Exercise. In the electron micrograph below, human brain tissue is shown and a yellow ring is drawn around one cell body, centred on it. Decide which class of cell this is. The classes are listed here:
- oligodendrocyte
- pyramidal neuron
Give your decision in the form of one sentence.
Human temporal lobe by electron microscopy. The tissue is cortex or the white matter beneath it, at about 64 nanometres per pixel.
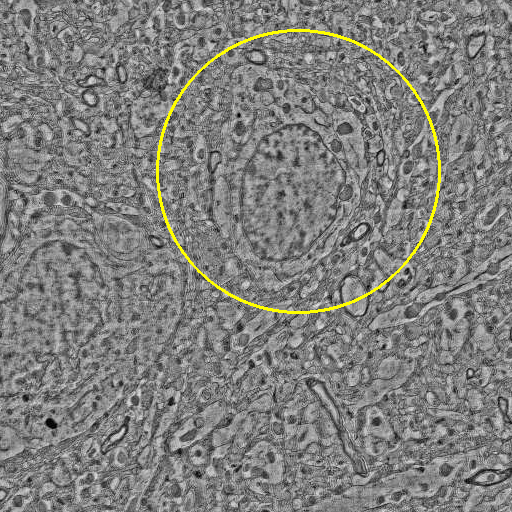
The cell body marked by the ring belongs to a pyramidal neuron.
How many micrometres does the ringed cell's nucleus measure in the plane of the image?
The nucleus appears roughly 9 by 7 micrometres in this plane.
